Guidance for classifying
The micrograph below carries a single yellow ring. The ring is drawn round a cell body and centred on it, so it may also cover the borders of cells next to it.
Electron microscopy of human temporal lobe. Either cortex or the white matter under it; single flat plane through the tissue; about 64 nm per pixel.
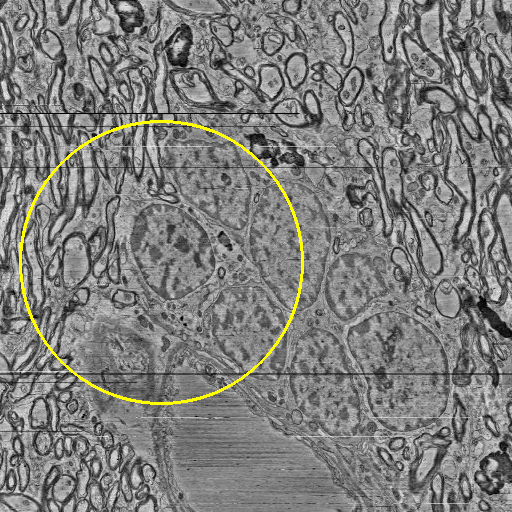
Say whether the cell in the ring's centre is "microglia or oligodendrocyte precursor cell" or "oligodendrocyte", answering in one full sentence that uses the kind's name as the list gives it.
Within the yellow ring, a microglial cell or oligodendrocyte precursor cell is the cell whose body sits at the centre.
